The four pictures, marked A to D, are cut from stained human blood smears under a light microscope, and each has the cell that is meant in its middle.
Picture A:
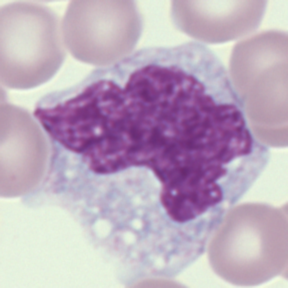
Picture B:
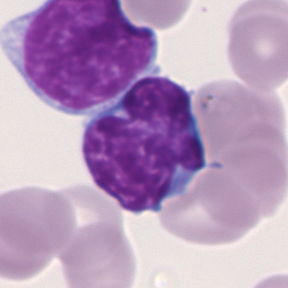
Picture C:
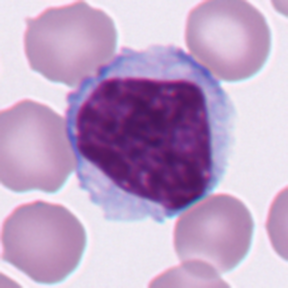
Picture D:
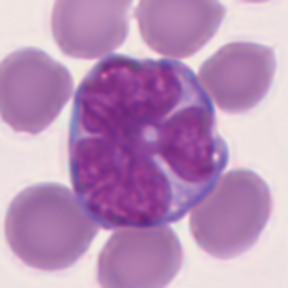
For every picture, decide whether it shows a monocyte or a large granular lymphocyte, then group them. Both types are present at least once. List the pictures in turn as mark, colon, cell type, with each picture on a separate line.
A: monocyte
B: large granular lymphocyte
C: monocyte
D: monocyte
